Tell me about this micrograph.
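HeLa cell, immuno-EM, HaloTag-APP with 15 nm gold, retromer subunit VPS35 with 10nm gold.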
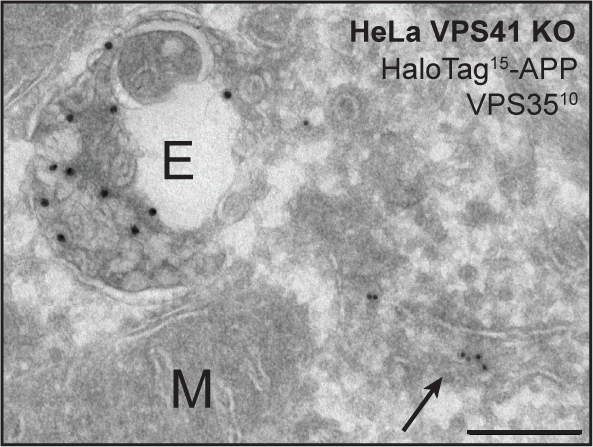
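This electron micrograph shows cell cytoplasm with an endosome that has a pale central lumen and many small internal vesicles packed along its rim. Numerous dark gold particles lie over the vesicle-filled part of the endosome. A mitochondrion with internal cristae lies below it, and an arrow at the lower right marks a small membrane profile with a few gold particles.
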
